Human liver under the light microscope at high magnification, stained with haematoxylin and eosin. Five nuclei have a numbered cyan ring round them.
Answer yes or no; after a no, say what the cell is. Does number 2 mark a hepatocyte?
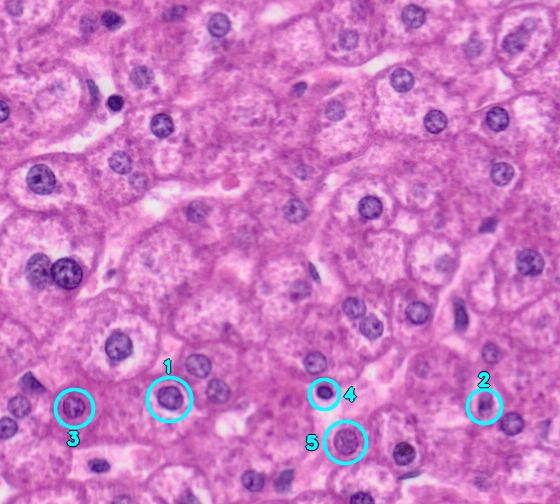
No, it is a Kupffer cell.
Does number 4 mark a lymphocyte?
Yes.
